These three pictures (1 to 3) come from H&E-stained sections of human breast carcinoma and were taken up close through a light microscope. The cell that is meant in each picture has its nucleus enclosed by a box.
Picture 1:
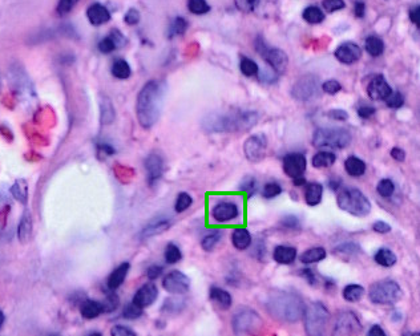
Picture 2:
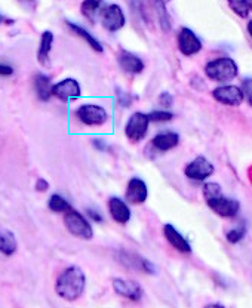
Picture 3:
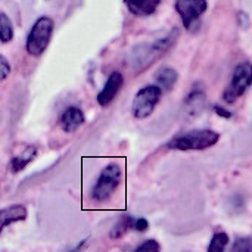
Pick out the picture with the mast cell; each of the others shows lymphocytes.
3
